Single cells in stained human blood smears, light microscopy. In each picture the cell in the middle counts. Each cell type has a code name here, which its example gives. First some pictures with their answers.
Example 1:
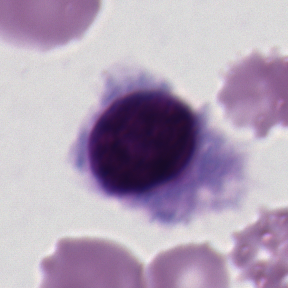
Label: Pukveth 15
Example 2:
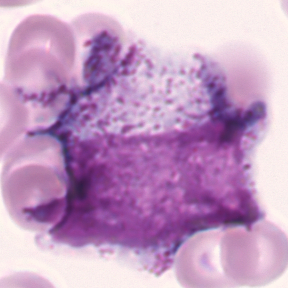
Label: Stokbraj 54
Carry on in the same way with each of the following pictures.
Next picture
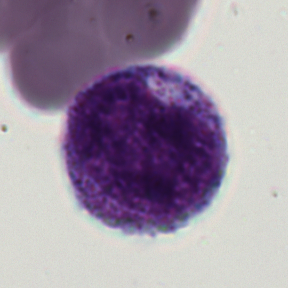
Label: Stokbraj 54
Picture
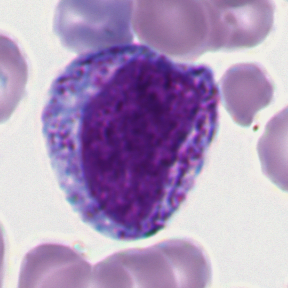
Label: Stokbraj 54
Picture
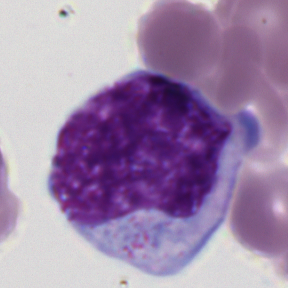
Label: Stokbraj 54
